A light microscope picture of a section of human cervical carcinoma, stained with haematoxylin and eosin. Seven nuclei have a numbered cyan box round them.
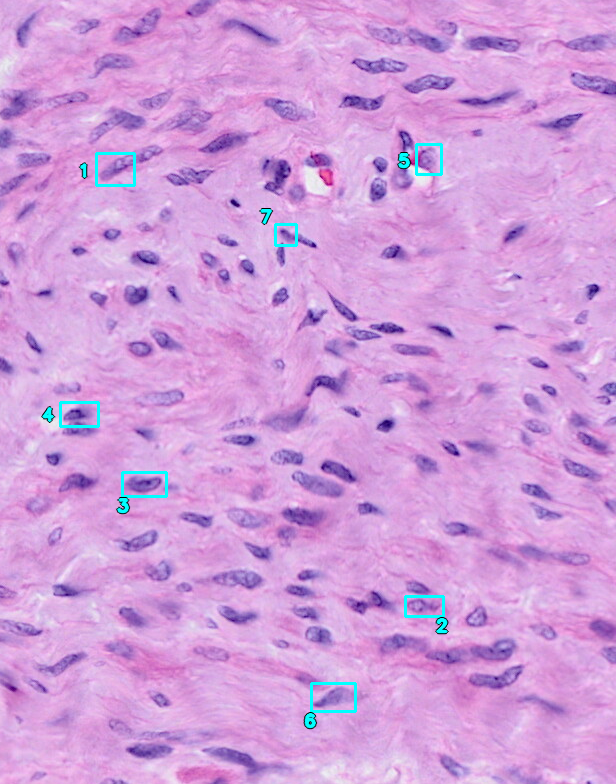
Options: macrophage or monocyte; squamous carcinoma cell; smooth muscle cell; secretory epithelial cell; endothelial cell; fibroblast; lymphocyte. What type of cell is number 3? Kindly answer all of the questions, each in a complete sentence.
The correct answer for cell 3 is a fibroblast.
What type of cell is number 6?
In the tissue shown, cell 6 is a fibroblast.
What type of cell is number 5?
The numeral 5 marks an endothelial cell in this section.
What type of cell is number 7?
Marked with the number 7, this cell is a fibroblast.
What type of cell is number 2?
Recognised here as a smooth muscle cell is the cell numbered 2.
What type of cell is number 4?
The cell tagged with 4 in this tissue section is a fibroblast.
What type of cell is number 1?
Nucleus 1 in this section belongs to a smooth muscle cell.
